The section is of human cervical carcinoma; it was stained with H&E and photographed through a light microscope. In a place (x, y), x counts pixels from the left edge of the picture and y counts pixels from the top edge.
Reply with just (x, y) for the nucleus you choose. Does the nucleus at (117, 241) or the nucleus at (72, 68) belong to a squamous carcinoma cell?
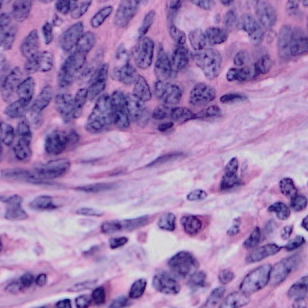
(72, 68)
